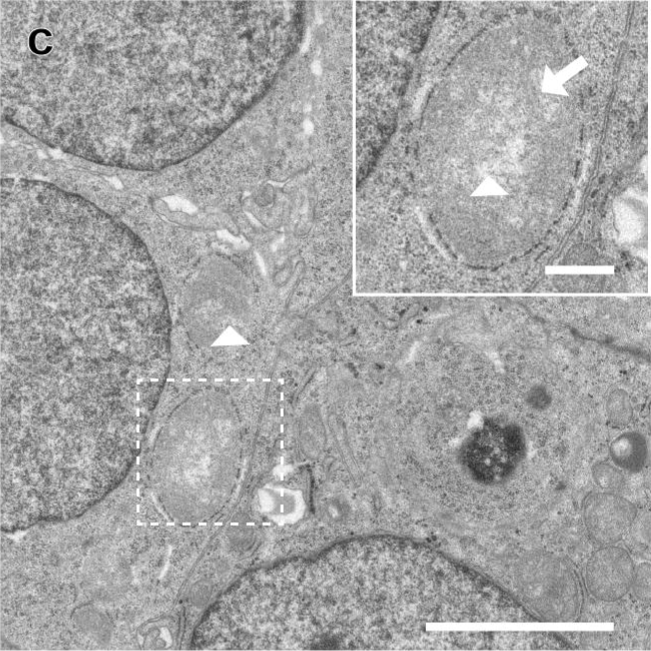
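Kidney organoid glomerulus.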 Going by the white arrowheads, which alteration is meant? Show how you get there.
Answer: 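Oval organelles bounded by membranes have pale central zones. The arrowhead points at a pale region inside such an organelle.
Conclusion: large electron-lucent areas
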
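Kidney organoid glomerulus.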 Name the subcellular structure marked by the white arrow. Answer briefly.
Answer: Remnants of mitochondrial cristae.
